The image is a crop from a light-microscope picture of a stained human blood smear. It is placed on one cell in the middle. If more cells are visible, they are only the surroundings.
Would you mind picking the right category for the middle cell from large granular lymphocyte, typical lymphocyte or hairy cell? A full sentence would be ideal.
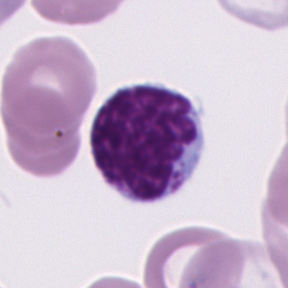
At the crop's centre, the cell is a large granular lymphocyte.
